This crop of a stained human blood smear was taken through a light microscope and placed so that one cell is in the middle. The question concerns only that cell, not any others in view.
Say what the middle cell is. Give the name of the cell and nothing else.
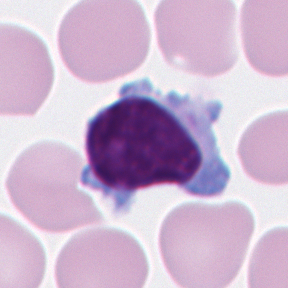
lymphocyte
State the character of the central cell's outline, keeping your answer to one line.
An irregular outline, ragged or marked by projections, surrounds this cell.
